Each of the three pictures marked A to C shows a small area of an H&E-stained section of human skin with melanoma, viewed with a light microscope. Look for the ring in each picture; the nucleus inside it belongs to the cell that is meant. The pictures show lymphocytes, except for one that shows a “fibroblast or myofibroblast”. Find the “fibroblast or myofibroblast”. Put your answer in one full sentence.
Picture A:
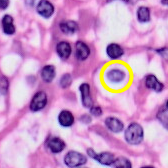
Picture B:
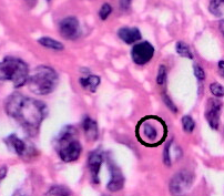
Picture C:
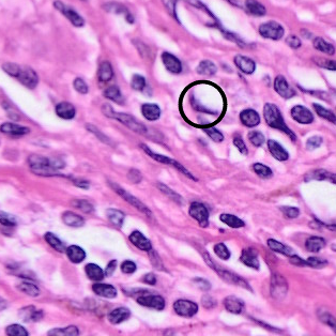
The picture with the “fibroblast or myofibroblast” is C.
